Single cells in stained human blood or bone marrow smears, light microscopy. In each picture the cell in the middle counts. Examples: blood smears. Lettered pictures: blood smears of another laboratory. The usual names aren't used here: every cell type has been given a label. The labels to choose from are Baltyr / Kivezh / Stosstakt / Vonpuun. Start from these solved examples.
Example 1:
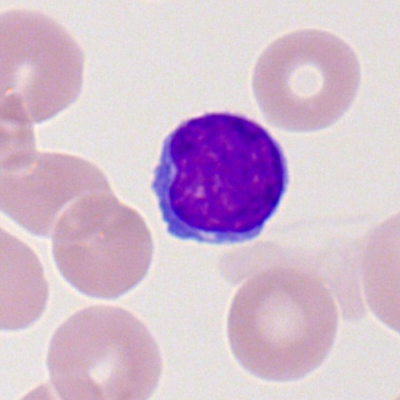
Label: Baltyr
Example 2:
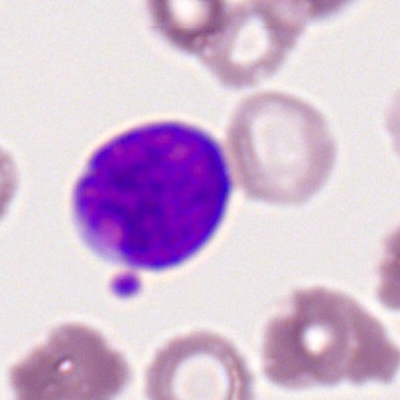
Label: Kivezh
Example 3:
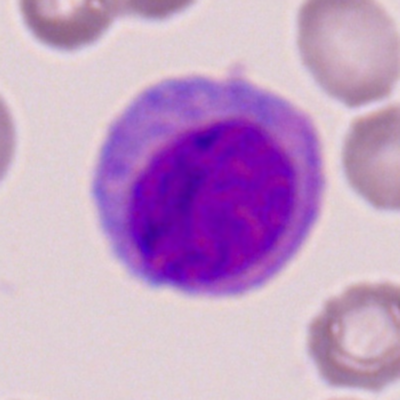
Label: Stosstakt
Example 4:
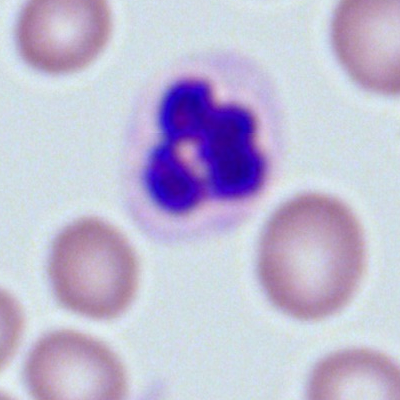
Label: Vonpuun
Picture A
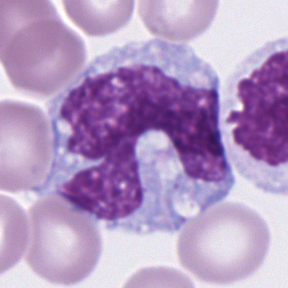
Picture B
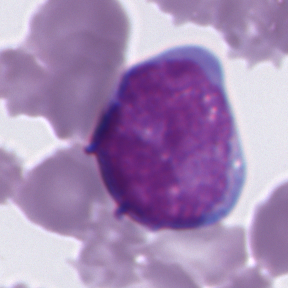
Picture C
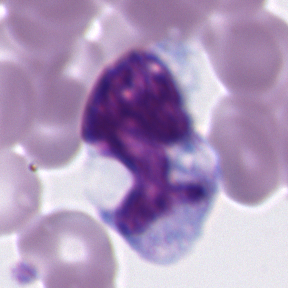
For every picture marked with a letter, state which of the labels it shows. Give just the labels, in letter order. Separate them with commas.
Stosstakt, Kivezh, Stosstakt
